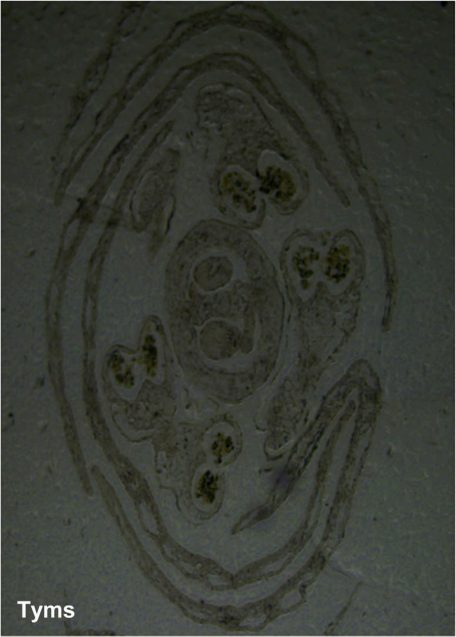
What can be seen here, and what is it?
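Transverse section of an elongated flower bud with incompletely developed pollen sacs. Several thin concentric bands of outer floral organs fold around the interior. Anther lobes are irregular and shrunken; only a few small pollen sacs are present, each holding a sparse cluster of brownish grains, and some lobes appear empty. The central pistil is oval and pale with rounded inner bodies. Compared with a full ring of plump sacs, the sacs here are few, small and unevenly placed. The tissue is pale grey without distinct colour staining.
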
